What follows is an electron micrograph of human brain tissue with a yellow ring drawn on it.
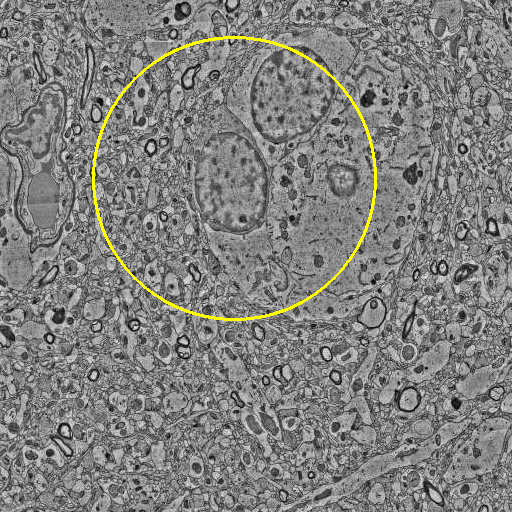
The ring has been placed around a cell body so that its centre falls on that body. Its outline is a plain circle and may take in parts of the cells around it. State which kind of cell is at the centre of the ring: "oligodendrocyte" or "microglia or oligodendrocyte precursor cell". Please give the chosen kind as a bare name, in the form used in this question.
oligodendrocyte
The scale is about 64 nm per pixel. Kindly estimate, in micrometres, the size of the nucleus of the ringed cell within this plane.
About 6 by 5 micrometres in this plane.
